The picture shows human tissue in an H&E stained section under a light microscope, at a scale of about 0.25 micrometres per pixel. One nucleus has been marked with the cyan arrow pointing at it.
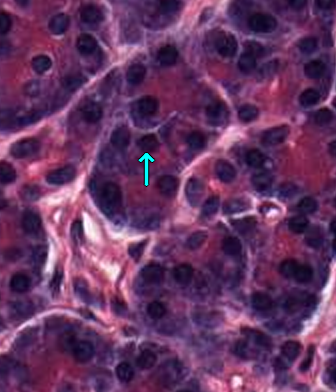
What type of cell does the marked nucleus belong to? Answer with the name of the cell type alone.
pancreatic acinar cell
